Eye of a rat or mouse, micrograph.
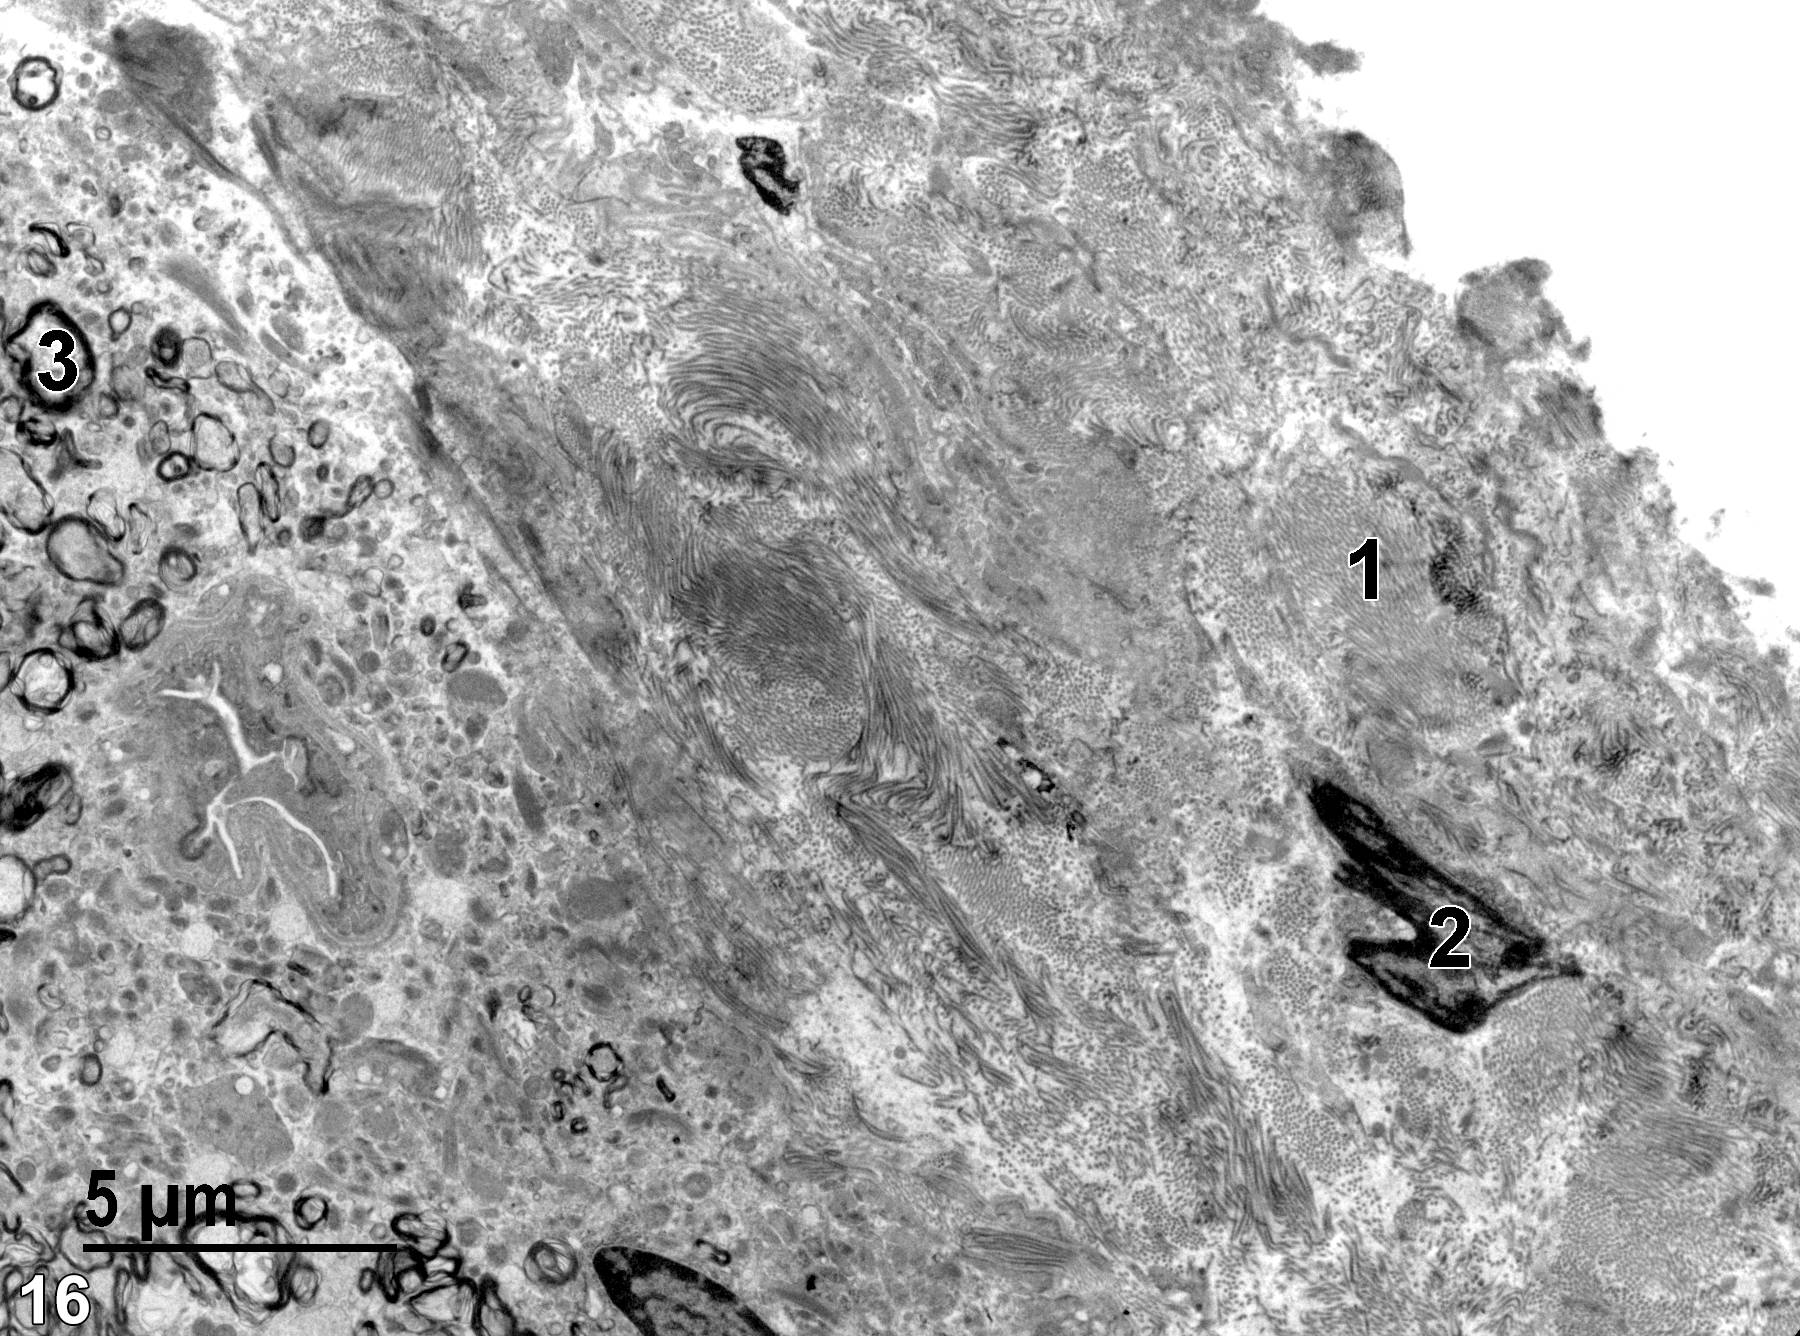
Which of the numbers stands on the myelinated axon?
3.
